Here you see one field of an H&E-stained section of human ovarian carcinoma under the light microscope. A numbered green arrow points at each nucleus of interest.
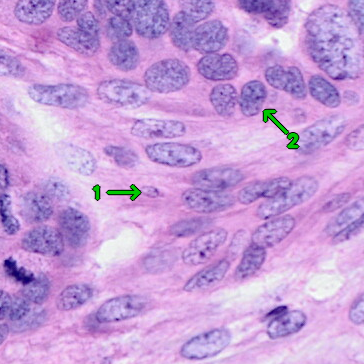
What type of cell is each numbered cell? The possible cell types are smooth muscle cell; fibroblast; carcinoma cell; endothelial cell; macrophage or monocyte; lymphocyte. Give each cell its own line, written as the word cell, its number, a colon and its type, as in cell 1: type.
cell 1: fibroblast
cell 2: carcinoma cell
